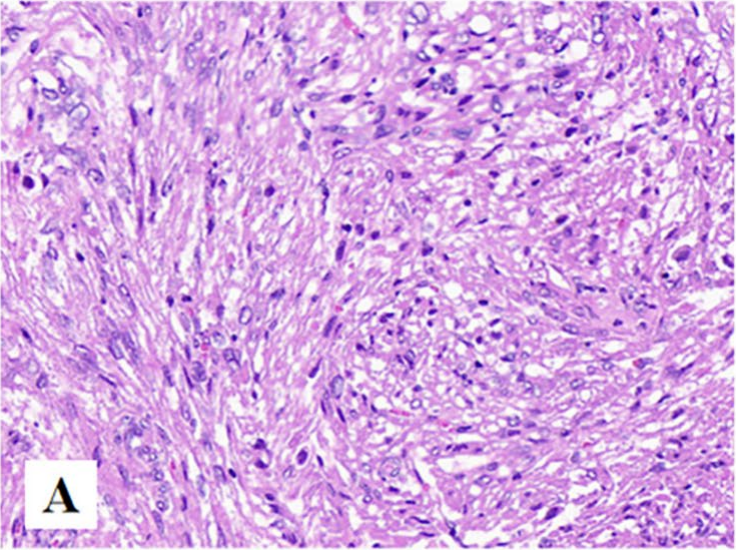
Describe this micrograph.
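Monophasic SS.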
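This is a tumour made of spindle cells arranged in interlacing, swirling fascicles within a pink fibrillary stroma. The nuclei are oval to elongated and purple, varying in size and shape, with some enlarged and darker nuclei showing moderate atypia. The cytoplasm is pale pink and poorly outlined, and small clear spaces lie between the cells in places.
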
